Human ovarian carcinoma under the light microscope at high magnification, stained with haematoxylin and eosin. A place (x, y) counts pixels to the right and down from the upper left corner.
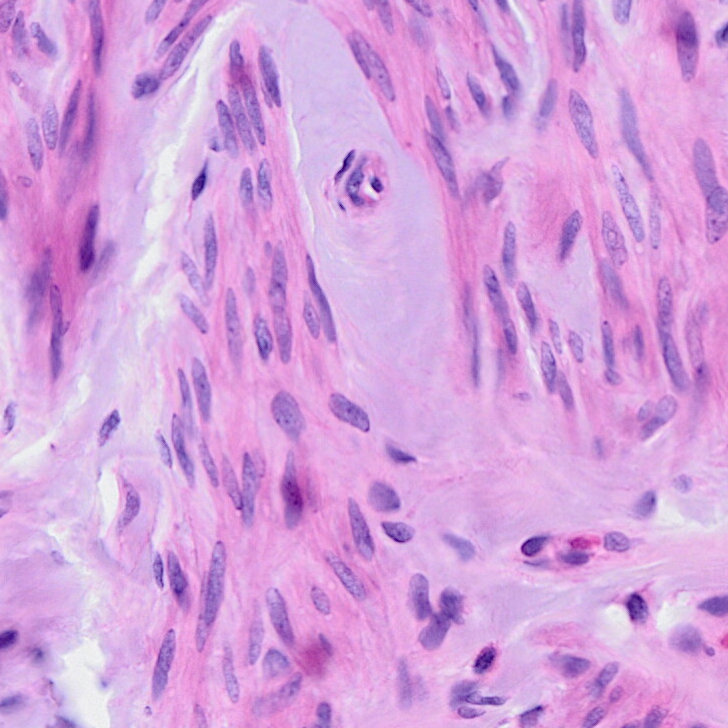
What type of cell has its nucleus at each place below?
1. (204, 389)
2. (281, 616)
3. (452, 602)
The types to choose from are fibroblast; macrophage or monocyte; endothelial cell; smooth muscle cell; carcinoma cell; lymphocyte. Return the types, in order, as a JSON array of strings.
["smooth muscle cell", "smooth muscle cell", "fibroblast"]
